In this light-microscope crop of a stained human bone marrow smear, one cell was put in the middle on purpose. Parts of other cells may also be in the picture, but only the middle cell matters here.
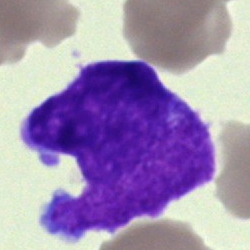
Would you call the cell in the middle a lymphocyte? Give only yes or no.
no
